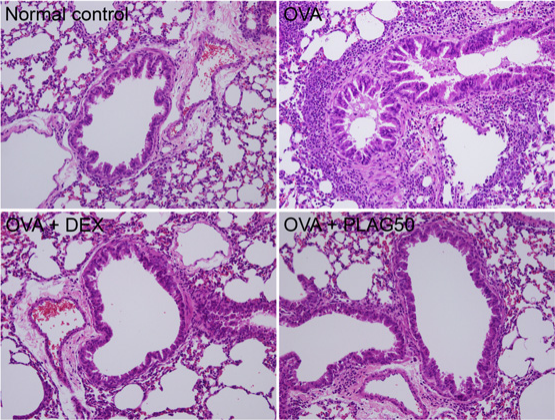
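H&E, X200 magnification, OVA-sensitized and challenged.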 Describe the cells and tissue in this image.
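These four pink-and-purple stained images show lung tissue, each centred on an airway lined by a folded epithelium of tall columnar cells and surrounded by thin-walled air spaces. In the upper right image, a dense cuff of small cells with dark round nuclei surrounds the airway and the neighbouring vessel. The epithelium there is thicker and more folded. In the other three images, the airway and vessel walls are thin, with only a few such cells around them, and the surrounding air spaces stay open.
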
